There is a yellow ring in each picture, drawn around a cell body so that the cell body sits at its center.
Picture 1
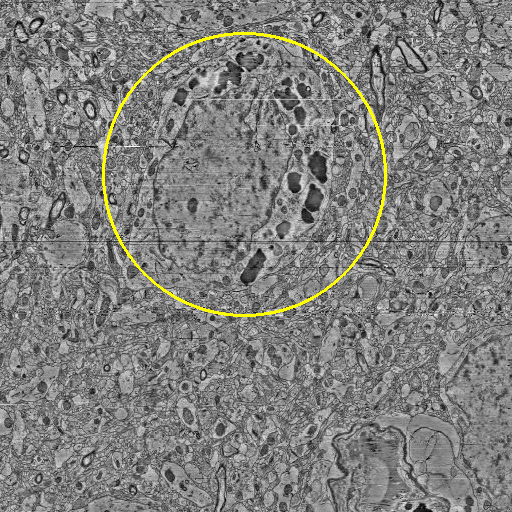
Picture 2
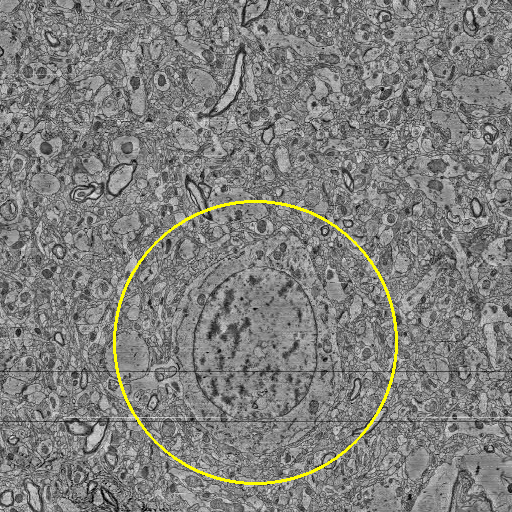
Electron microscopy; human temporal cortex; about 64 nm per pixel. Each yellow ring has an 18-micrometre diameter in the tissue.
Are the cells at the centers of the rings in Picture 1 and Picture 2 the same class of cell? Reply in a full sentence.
No, the two cells are two classes of cell.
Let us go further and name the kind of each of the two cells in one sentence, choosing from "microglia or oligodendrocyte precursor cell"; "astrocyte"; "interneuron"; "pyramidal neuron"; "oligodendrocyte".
The ring of the first picture is on an interneuron, the ring of the second on a pyramidal neuron.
